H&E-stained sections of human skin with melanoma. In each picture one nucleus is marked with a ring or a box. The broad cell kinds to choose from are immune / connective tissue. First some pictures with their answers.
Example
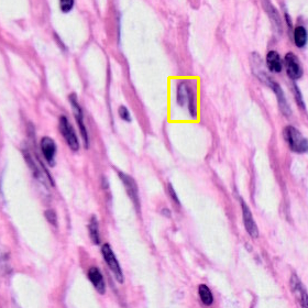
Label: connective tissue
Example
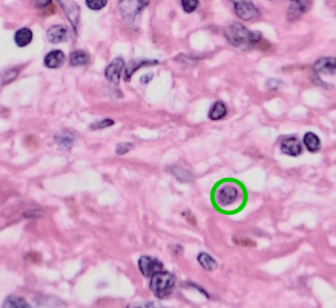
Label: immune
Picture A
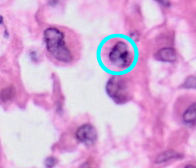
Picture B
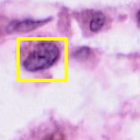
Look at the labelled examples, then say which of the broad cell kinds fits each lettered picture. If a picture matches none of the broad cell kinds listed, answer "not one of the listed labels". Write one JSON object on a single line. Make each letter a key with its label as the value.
{"A": "immune", "B": "immune"}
